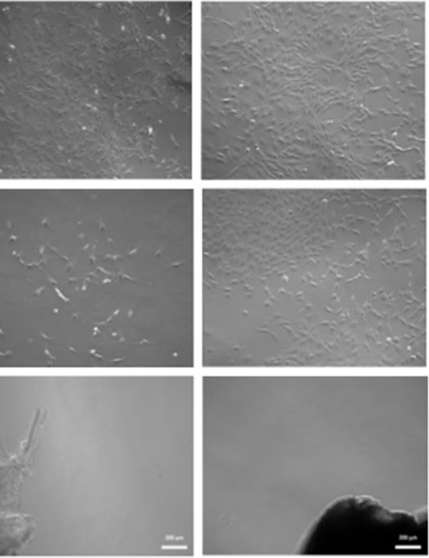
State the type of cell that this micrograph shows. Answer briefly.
Fibroblast.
